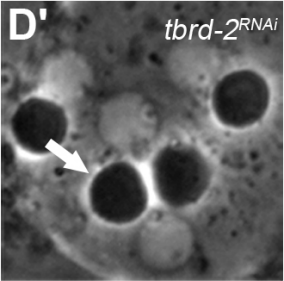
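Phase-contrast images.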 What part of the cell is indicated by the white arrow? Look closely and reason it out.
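The arrow points to a dark, round, sharply bounded body. Dark round bodies lie beside paler round bodies of similar size.
Conclusion: Nebenkerne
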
